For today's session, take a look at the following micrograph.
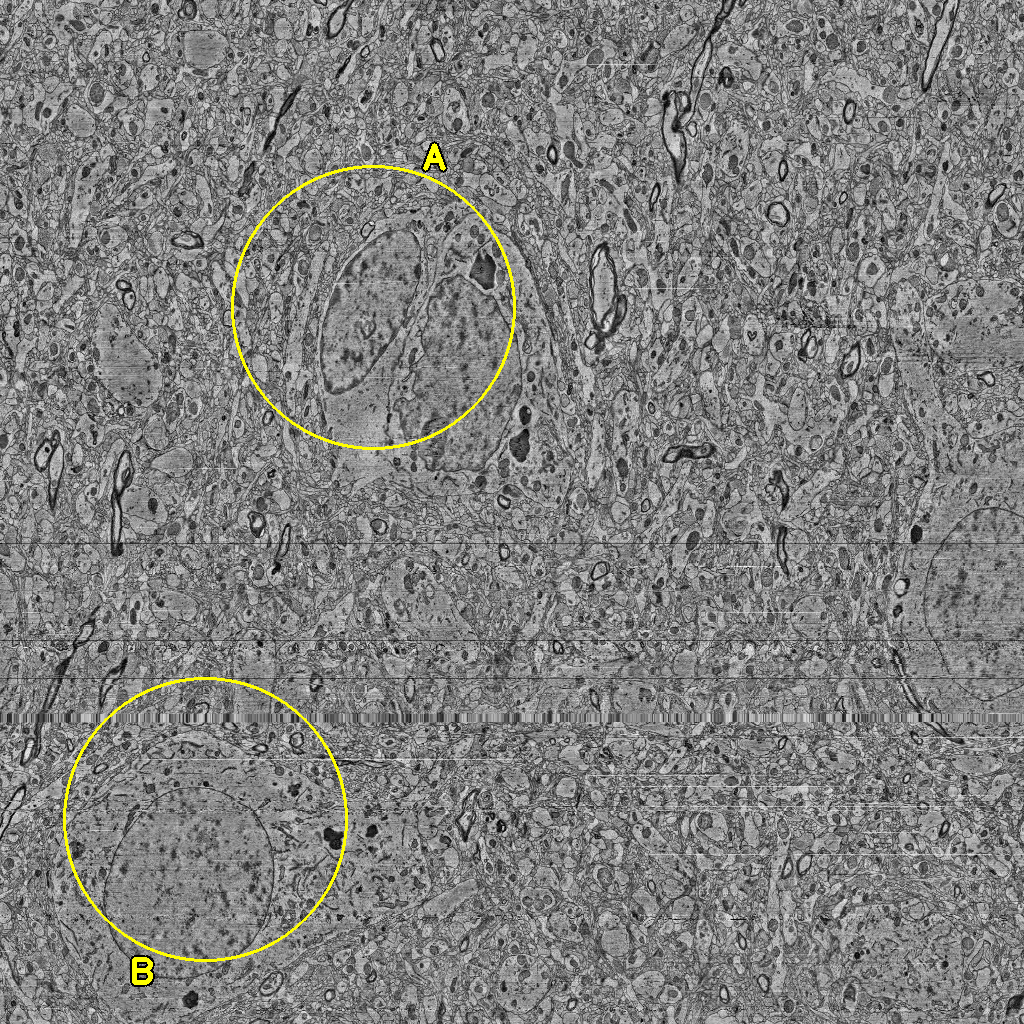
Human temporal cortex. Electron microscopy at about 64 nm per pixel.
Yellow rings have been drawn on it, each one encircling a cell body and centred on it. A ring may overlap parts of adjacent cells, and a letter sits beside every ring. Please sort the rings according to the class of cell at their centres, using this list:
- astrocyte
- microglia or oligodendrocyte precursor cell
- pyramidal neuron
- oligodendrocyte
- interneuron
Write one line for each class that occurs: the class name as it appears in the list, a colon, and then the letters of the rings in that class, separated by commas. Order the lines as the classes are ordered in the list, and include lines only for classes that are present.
microglia or oligodendrocyte precursor cell: A
pyramidal neuron: B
